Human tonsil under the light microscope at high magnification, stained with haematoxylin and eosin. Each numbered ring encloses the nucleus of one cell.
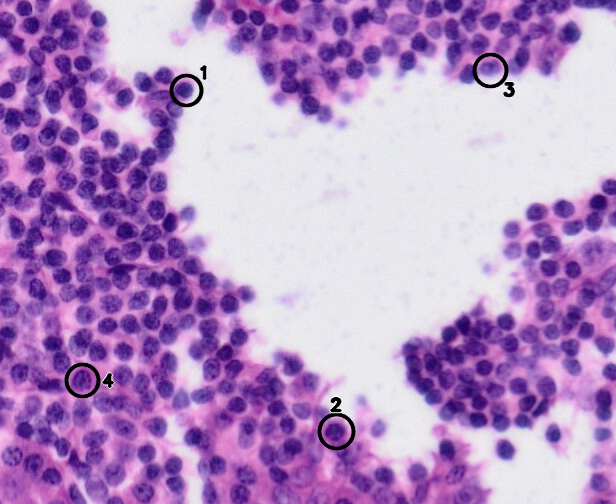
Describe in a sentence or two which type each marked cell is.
Cell 1 is a small lymphocyte, cell 2 is a plasma cell, cell 3 is a small lymphocyte and cell 4 is a plasma cell.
